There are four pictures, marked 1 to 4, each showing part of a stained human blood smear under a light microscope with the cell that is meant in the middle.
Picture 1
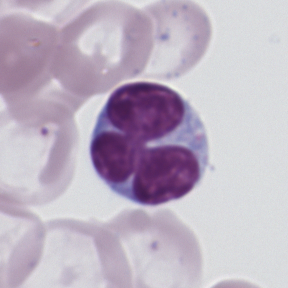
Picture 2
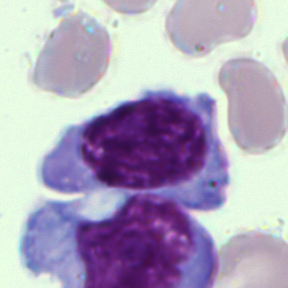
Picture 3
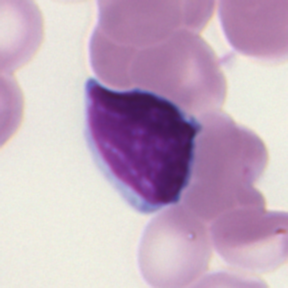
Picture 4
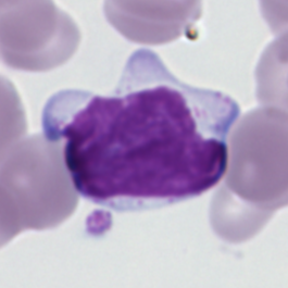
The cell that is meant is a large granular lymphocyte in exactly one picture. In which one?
4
